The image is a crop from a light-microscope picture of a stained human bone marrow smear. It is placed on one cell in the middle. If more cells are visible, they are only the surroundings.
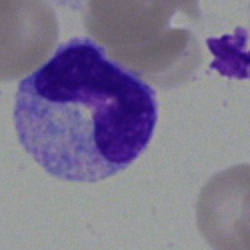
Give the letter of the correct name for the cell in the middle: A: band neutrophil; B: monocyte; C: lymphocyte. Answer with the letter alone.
A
